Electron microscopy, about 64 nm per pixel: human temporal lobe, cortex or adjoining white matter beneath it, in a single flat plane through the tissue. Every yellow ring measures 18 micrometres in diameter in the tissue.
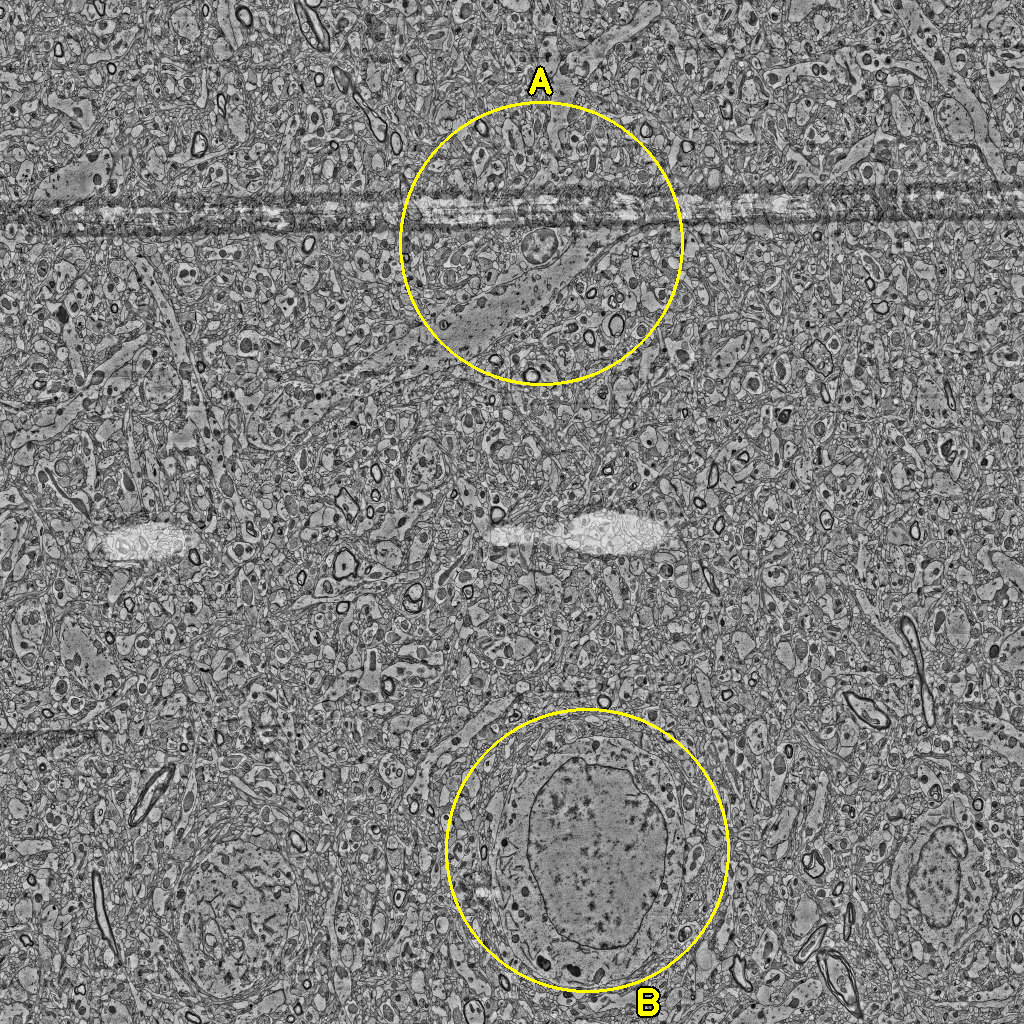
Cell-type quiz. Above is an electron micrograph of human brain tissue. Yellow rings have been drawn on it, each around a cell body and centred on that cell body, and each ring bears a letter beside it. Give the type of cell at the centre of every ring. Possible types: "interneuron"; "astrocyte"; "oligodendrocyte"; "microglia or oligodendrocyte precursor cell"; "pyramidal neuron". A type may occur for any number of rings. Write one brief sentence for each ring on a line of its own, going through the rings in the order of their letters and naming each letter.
Ring A is centred on the cell body of a microglial cell or oligodendrocyte precursor cell.
Ring B is centred on the cell body of a pyramidal neuron.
